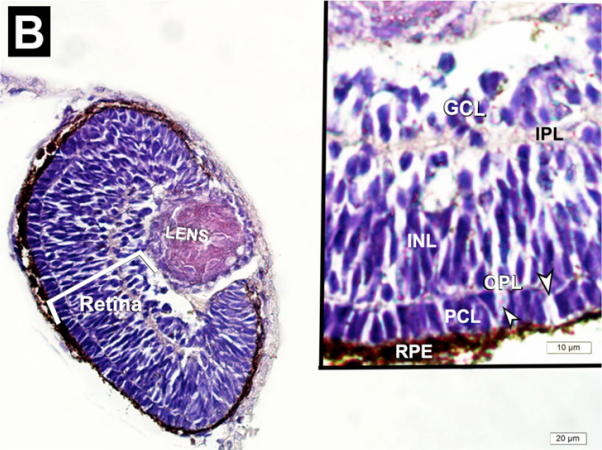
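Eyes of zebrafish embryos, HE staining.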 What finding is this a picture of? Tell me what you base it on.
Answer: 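In the enlarged inset the outermost band of cells next to the dark pigmented layer is not an even, compact row. Pale gaps lie between some of the elongated cells in the outer retina. So: disorganization of photoreceptor cells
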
